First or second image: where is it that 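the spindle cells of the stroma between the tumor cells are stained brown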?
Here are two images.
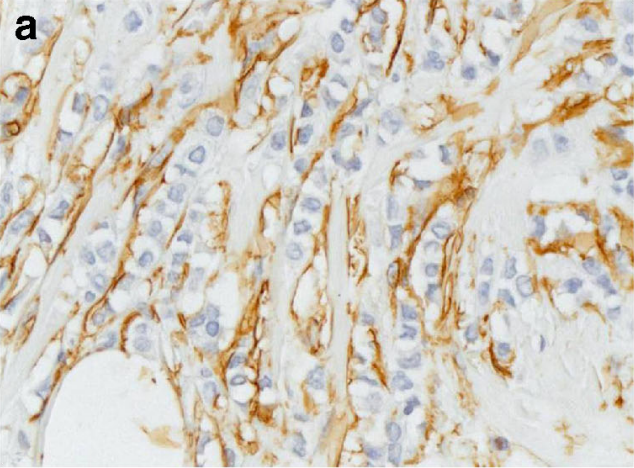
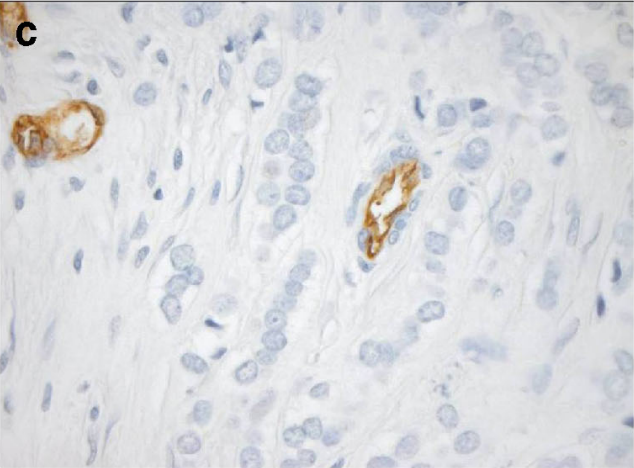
the first image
